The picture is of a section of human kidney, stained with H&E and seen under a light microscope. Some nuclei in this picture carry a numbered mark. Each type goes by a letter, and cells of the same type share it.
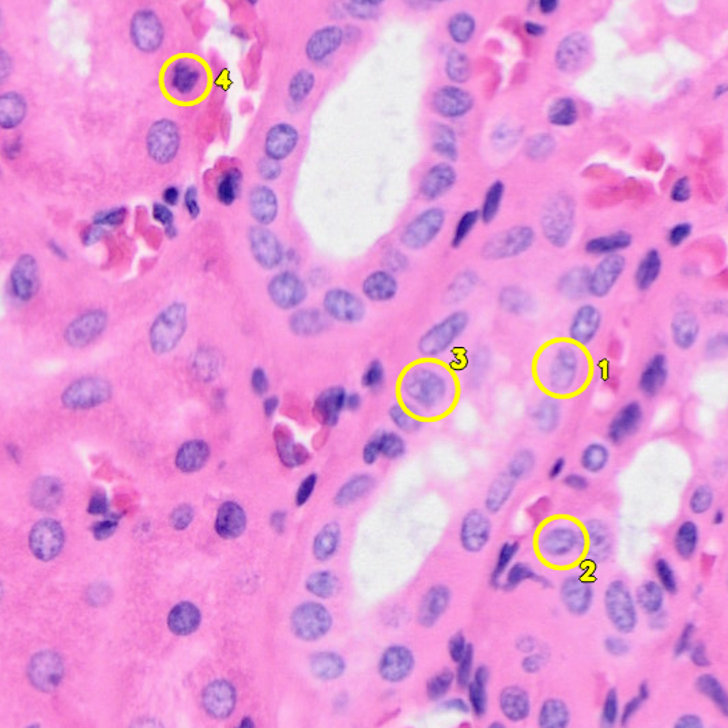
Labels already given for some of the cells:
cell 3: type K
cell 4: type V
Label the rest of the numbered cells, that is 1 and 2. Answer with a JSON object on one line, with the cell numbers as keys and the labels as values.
{"1": "type K", "2": "type K"}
